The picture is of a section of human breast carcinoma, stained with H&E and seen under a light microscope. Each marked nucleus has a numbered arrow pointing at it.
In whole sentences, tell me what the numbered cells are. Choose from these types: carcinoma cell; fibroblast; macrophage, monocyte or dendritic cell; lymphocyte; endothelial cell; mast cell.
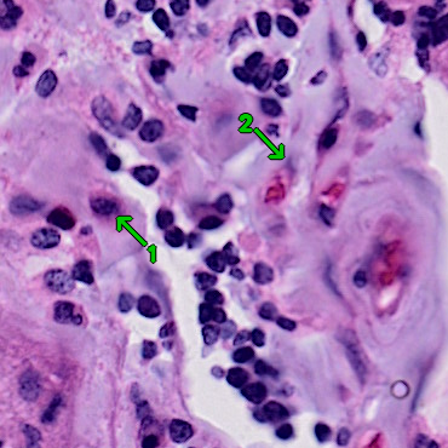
Cell 1 is a mast cell and cell 2 is an endothelial cell.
